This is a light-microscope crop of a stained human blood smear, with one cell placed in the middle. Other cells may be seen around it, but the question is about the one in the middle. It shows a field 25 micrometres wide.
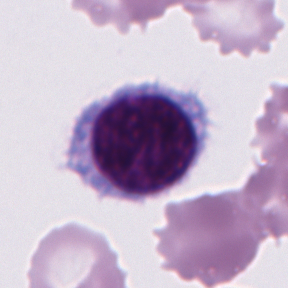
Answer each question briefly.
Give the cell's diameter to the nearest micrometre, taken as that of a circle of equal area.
11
